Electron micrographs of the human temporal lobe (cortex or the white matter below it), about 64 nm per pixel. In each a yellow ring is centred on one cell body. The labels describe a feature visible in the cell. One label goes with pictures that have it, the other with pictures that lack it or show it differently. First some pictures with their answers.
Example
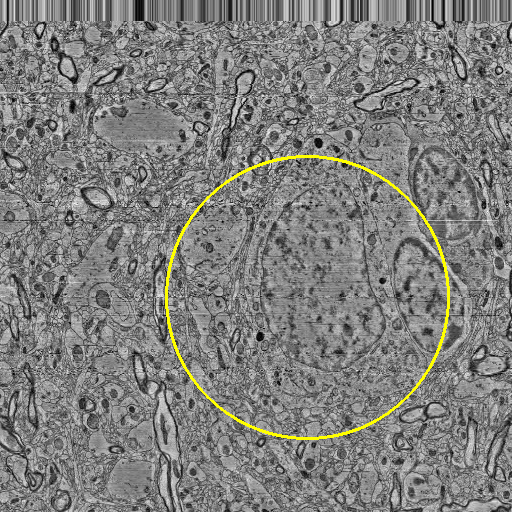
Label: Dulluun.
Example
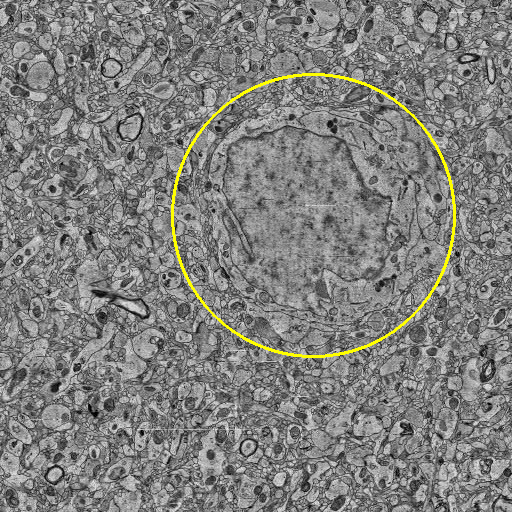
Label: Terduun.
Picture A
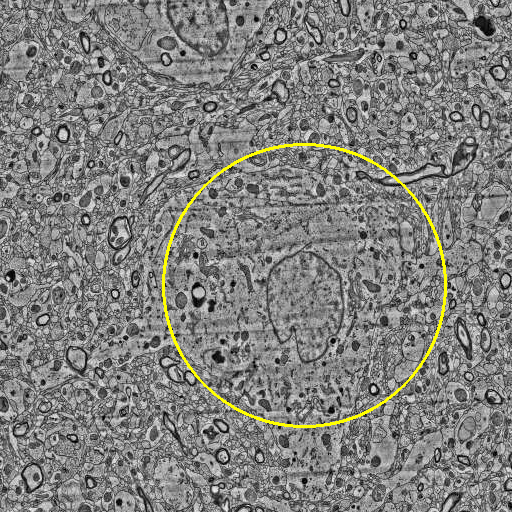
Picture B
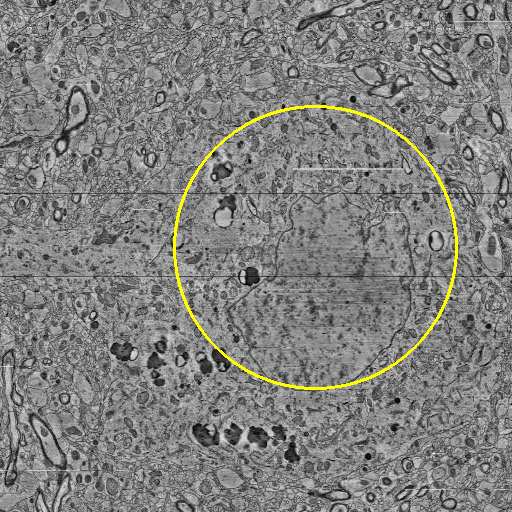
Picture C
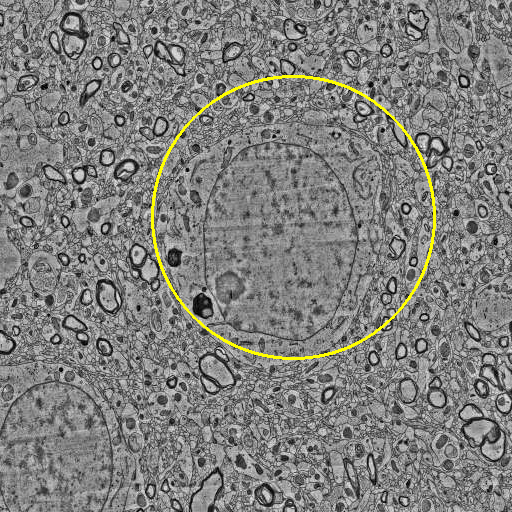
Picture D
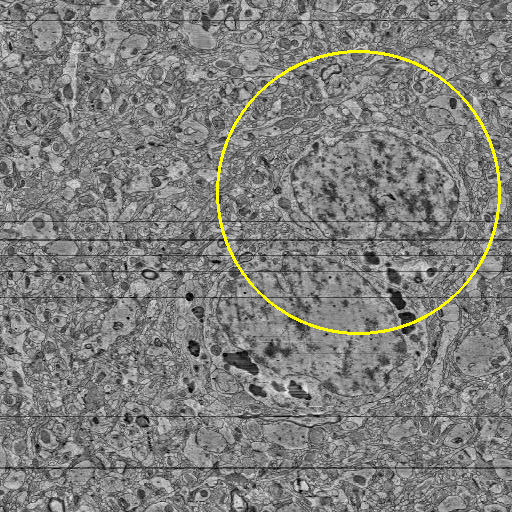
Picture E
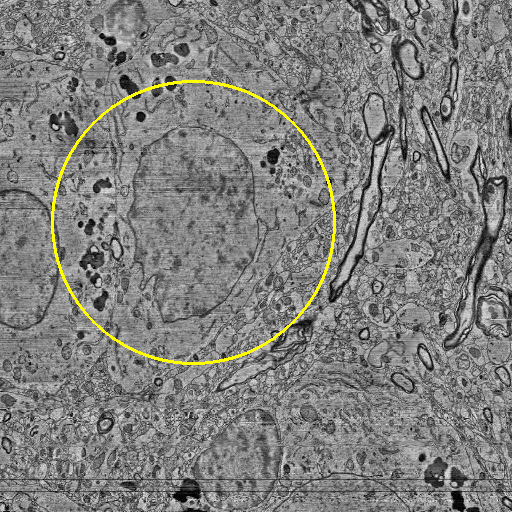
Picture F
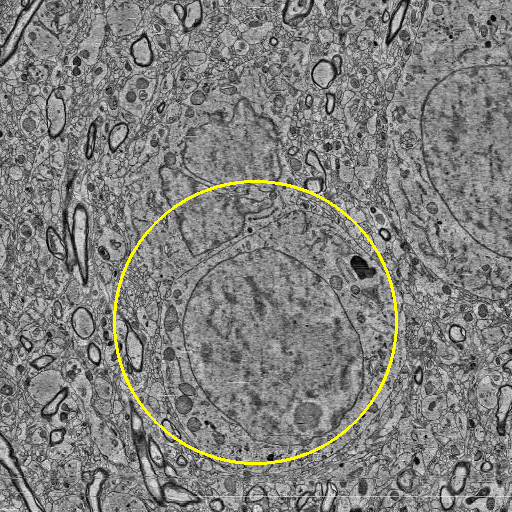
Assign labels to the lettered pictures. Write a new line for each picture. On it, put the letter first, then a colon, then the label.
A: Terduun.
B: Terduun.
C: Dulluun.
D: Dulluun.
E: Terduun.
F: Dulluun.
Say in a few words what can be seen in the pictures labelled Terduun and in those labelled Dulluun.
Terduun: deeply folded or indented nuclear envelopes; Dulluun: smooth nuclear envelopes without deep folds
